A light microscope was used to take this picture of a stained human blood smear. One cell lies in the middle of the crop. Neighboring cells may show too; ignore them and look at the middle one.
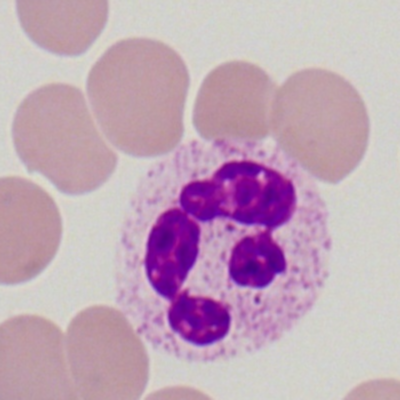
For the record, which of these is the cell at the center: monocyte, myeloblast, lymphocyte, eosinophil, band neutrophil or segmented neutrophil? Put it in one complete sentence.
The cell positioned in the middle of the field is a segmented neutrophil.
